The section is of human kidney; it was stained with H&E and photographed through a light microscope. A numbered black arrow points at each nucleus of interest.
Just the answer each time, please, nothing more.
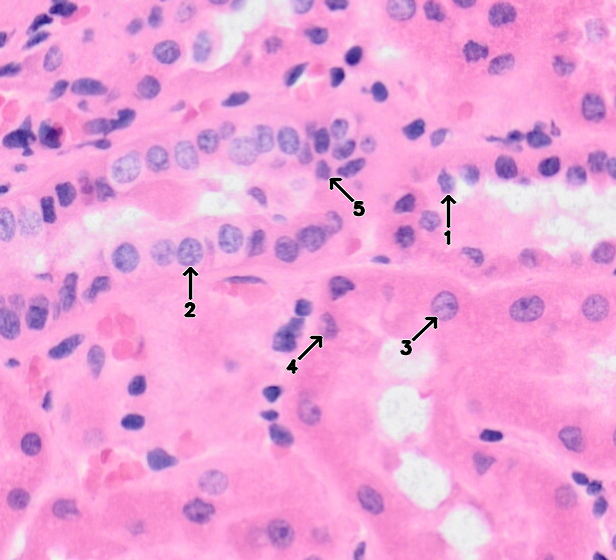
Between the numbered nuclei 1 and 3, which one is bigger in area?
3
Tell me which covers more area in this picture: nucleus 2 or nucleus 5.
2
